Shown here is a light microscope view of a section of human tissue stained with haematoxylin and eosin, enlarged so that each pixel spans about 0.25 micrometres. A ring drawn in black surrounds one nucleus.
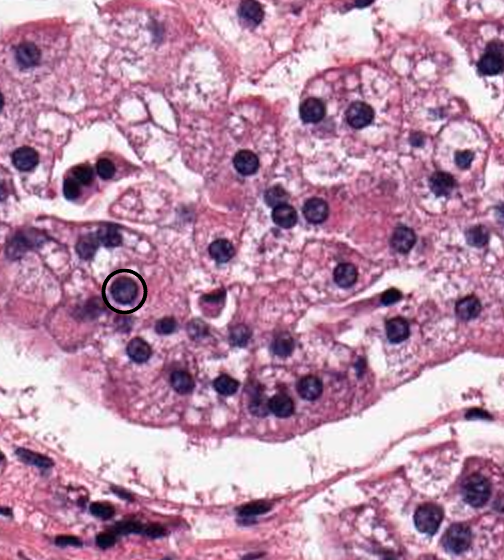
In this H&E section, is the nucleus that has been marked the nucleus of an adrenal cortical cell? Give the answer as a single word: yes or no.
yes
